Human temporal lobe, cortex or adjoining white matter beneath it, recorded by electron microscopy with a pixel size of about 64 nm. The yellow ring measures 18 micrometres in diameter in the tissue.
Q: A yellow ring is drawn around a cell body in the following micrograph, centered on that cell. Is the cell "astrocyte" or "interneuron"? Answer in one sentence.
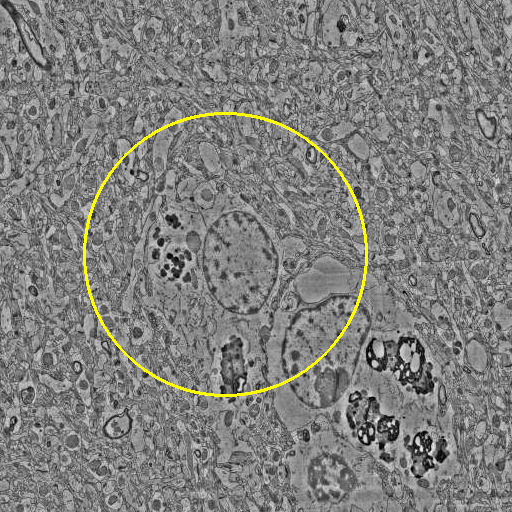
The cell in the center of the ring is an astrocyte.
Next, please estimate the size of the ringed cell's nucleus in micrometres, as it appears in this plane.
About 7 by 5 micrometers, in this plane.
